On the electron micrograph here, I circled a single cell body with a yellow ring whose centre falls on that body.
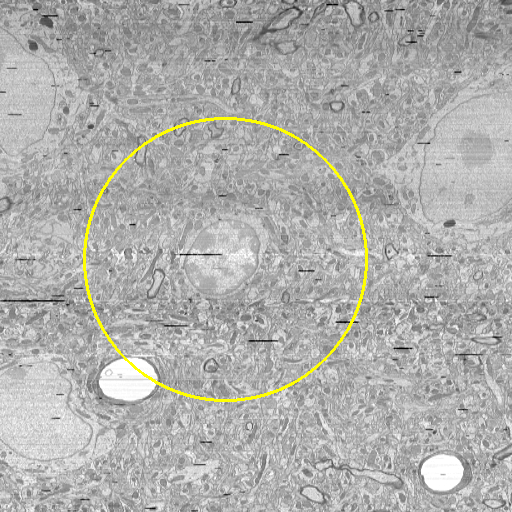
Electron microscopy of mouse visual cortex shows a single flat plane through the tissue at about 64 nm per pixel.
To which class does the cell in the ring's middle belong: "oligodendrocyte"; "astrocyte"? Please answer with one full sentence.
In this picture, the cell body circled at the ring's centre belongs to an oligodendrocyte.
